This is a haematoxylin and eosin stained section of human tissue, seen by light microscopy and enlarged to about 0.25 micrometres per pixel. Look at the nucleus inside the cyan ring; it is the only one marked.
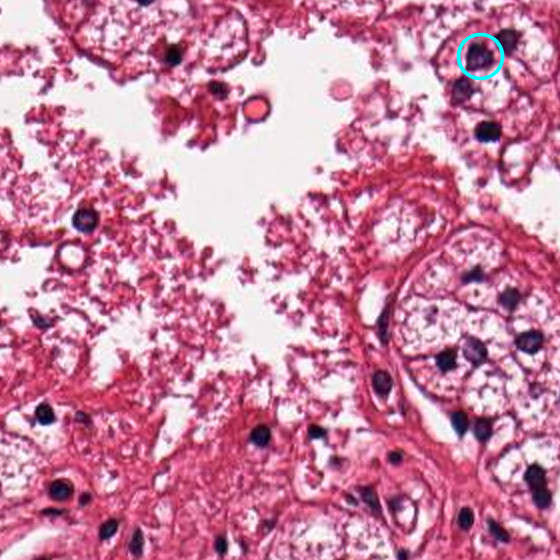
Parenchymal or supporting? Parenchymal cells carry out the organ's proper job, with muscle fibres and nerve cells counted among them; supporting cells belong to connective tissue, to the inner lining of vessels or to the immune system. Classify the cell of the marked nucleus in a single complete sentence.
It is the nucleus of an adrenal cortical cell, a parenchymal cell, that is marked.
